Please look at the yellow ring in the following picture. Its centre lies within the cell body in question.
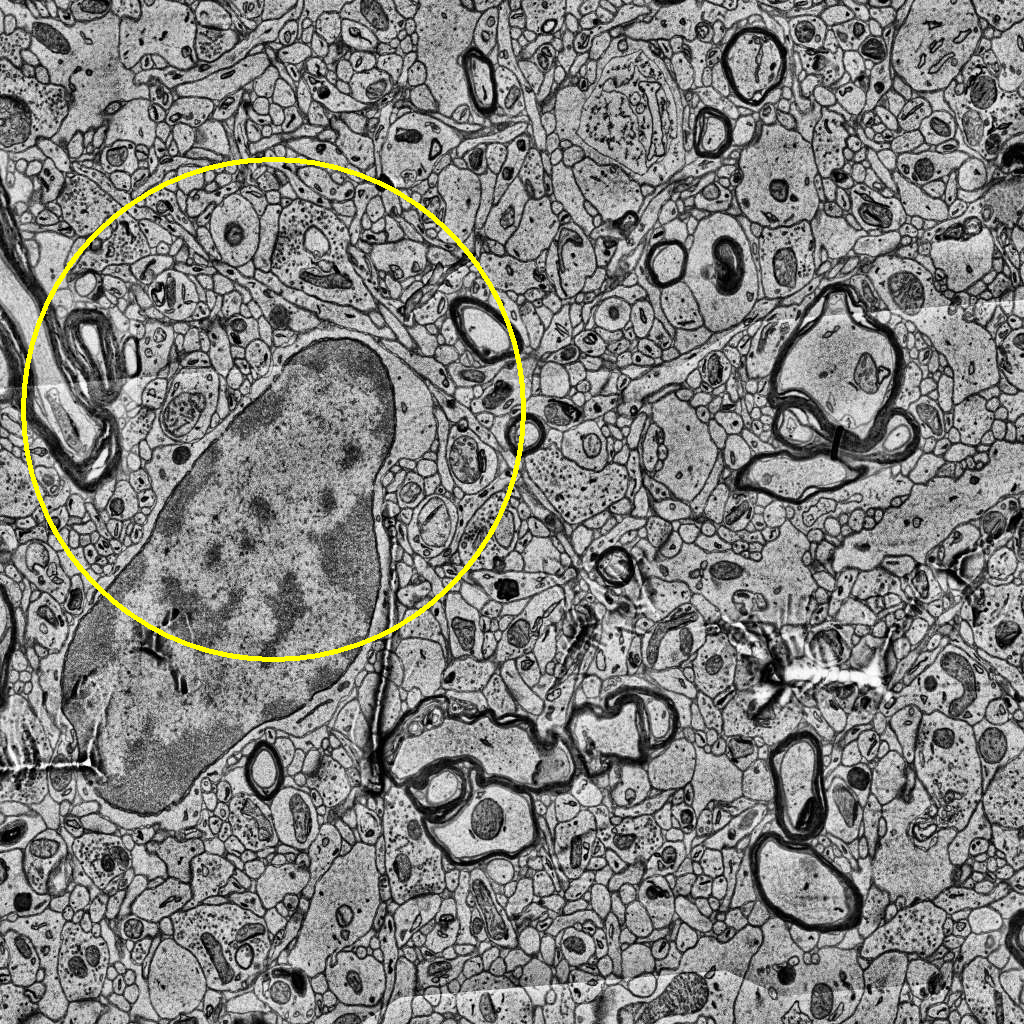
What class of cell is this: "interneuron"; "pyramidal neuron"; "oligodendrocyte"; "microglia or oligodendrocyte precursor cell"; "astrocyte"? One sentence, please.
The centre of the ring lies in the cell body of a microglial cell or oligodendrocyte precursor cell.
